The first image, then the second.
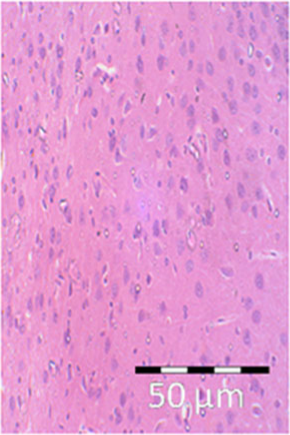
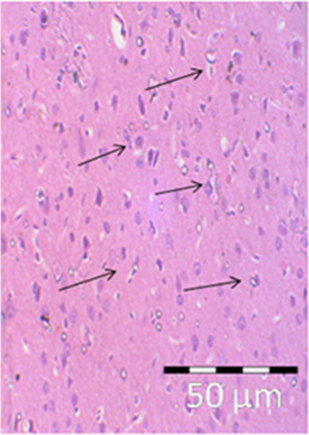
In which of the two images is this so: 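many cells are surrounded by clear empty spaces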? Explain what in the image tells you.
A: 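Second image: numerous small clear halos and spaces around dark nuclei are scattered through the pink tissue. On this evidence: the second image.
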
